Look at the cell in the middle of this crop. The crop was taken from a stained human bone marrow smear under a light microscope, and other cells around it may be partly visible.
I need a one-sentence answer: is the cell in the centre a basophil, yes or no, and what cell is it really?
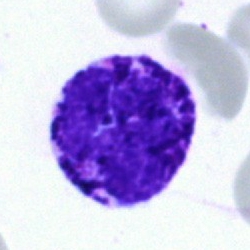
Yes, it is a basophil that occupies the centre of the crop.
